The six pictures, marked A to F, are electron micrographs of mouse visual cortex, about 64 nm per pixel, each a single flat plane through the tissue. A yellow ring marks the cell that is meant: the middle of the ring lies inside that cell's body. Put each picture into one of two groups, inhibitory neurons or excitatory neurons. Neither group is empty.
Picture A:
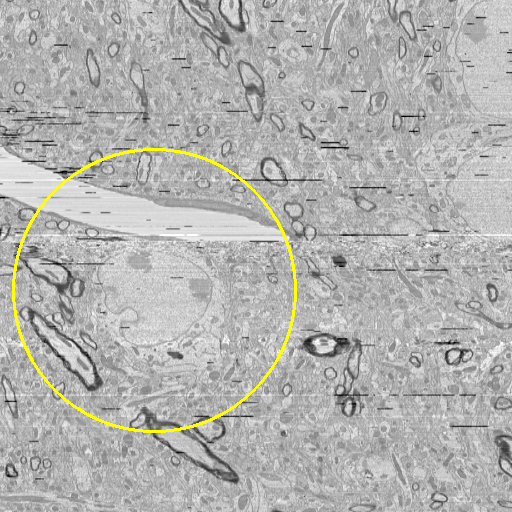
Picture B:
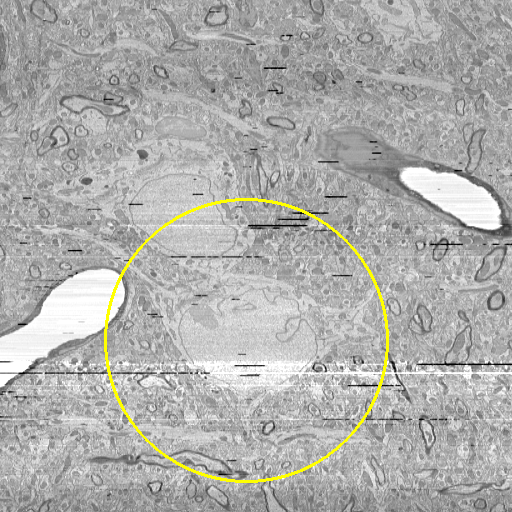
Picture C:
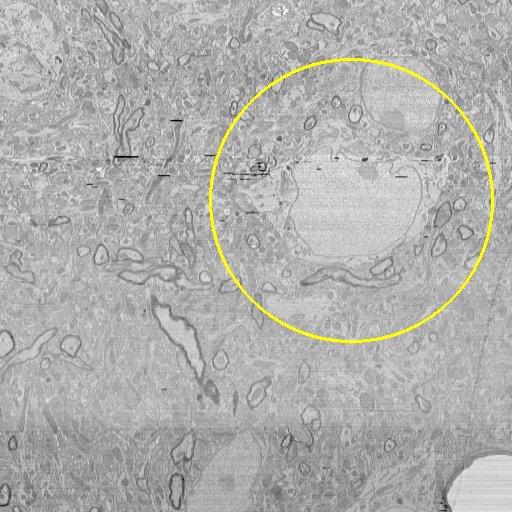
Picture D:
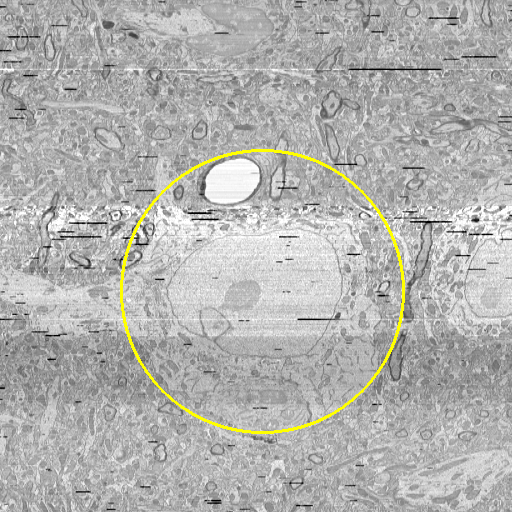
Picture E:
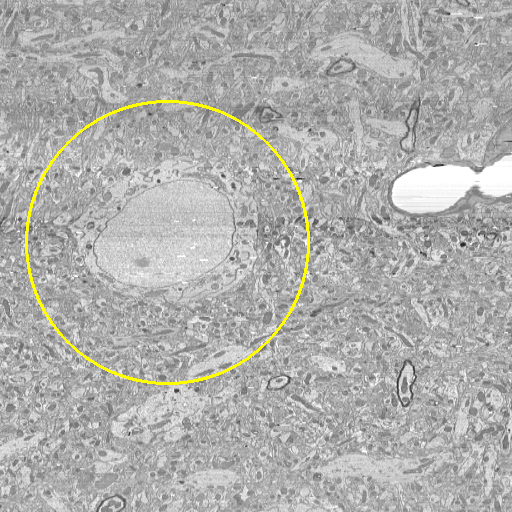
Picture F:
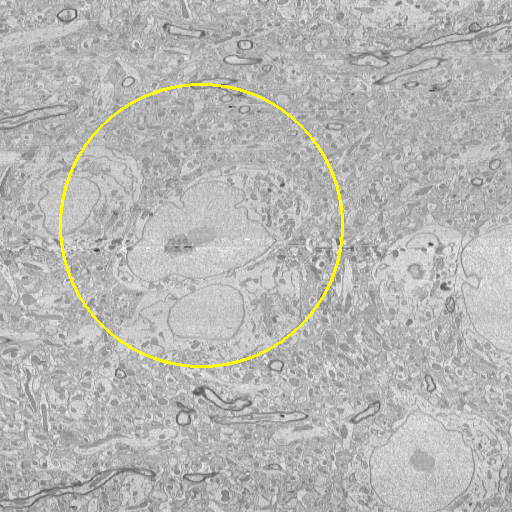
Pictures B and F show inhibitory neurons, while pictures A, C, D and E show excitatory neurons.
